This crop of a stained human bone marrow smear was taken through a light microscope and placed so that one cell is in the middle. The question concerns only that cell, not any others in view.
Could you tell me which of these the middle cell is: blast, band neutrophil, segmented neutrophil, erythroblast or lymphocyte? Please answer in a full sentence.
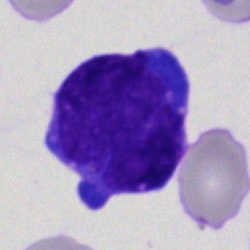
This crop has a blast at its centre.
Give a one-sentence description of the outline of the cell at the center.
Around its circumference, the cell has an uneven edge, ragged or projecting in places.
